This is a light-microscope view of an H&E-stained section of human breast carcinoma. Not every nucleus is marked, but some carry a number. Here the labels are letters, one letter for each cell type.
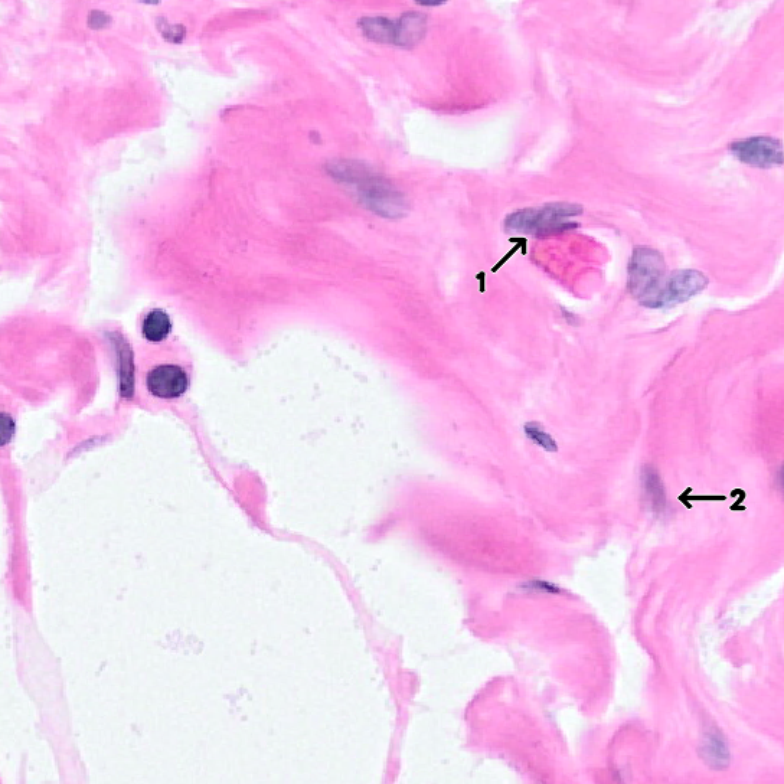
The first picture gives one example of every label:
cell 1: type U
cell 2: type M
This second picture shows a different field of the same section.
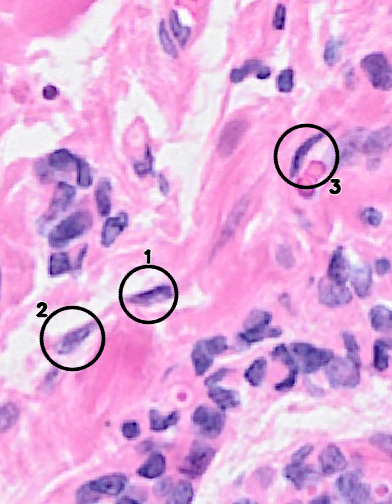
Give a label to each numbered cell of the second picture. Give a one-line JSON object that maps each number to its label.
{"1": "type M", "2": "type M", "3": "type U"}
